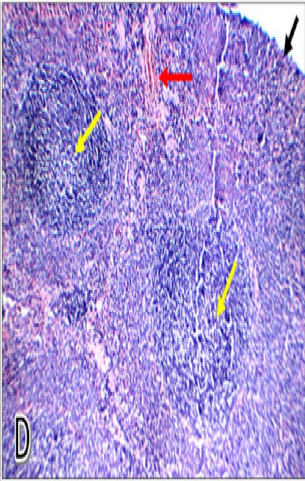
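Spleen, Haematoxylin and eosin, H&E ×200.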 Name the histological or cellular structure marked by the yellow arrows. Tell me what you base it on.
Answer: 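Rounded areas of densely packed dark-blue cells. They stand out against paler, pinker surrounding tissue.
Conclusion: lymphoid follicles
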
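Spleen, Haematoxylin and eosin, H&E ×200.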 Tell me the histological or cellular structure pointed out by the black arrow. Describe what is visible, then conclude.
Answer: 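The arrow points at the thin outer edge of the tissue at the top right corner. The answer: capsule.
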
